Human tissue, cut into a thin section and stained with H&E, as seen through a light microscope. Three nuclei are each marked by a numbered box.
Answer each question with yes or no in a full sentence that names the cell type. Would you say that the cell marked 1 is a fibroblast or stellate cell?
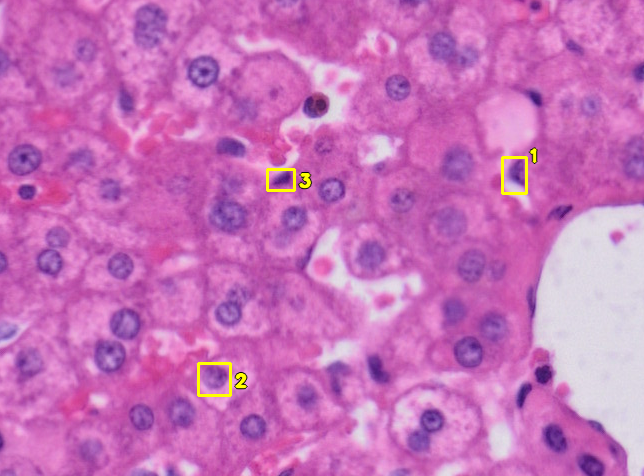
No, cell 1 is not to be taken for a fibroblast or stellate cell; it is an endothelial cell.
